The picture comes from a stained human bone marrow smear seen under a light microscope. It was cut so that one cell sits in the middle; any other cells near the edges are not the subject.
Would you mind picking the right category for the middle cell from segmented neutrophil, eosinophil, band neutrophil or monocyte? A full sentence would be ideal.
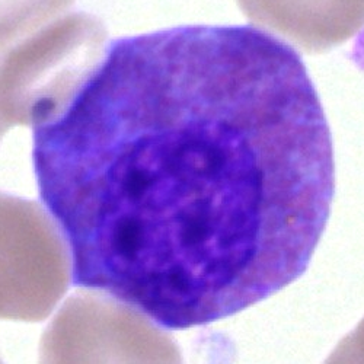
The single cell at the center of the crop is an eosinophil.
